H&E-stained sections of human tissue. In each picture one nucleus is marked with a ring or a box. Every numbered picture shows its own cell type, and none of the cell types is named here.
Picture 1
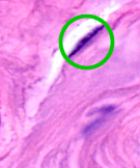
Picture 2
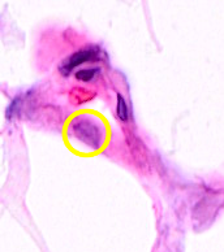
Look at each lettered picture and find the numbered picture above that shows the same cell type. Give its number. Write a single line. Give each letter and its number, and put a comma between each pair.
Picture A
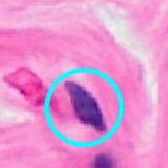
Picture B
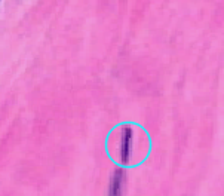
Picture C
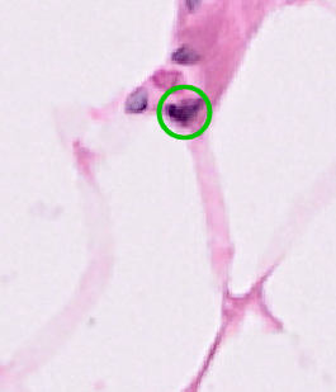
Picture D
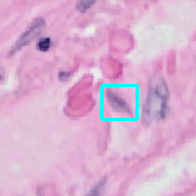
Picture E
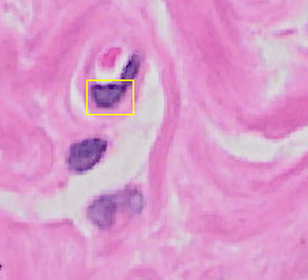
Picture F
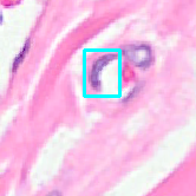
A 2, B 1, C 2, D 2, E 2, F 2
